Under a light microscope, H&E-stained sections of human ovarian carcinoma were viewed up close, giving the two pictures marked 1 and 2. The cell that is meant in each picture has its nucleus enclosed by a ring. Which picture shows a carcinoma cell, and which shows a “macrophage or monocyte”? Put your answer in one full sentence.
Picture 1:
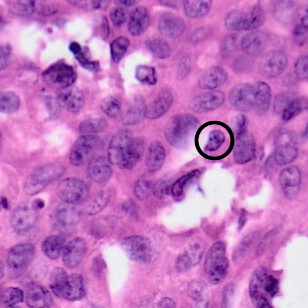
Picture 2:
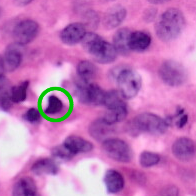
It is picture 1 that shows a “macrophage or monocyte”, and picture 2 that shows a carcinoma cell.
